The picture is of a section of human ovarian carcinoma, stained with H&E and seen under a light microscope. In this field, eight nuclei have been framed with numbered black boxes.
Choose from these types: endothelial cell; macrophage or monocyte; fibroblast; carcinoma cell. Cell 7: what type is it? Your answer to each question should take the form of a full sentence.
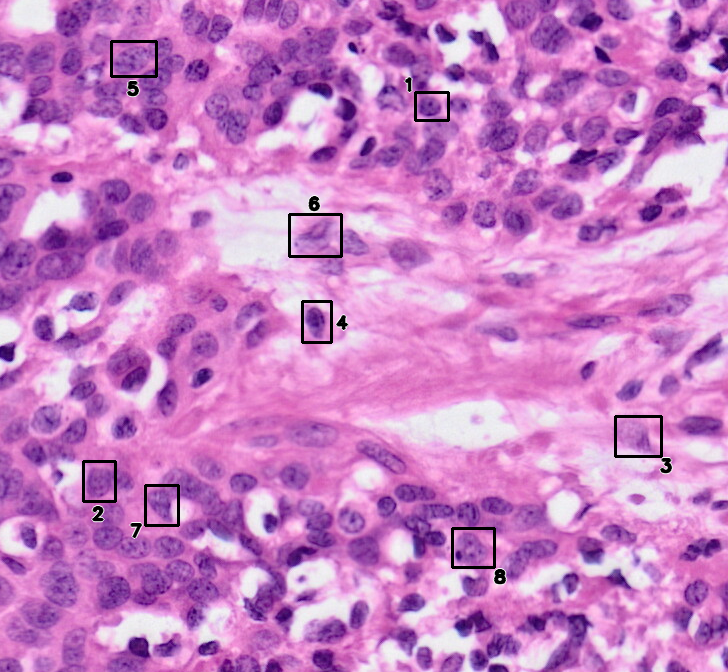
The marked cell with the number 7 is recognised as a carcinoma cell.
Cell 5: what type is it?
The marked nucleus 5 is that of a carcinoma cell.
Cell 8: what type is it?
Cell 8 in the field is a carcinoma cell.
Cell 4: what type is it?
Cell 4 should be recorded as a macrophage or monocyte.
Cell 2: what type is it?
Cell 2 in the field is a carcinoma cell.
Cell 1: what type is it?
The cell identified by number 1 is a macrophage or monocyte.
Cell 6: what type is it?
The label 6 in this section denotes a fibroblast.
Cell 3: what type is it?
Of the numbered cells, the one labelled 3 is a fibroblast.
